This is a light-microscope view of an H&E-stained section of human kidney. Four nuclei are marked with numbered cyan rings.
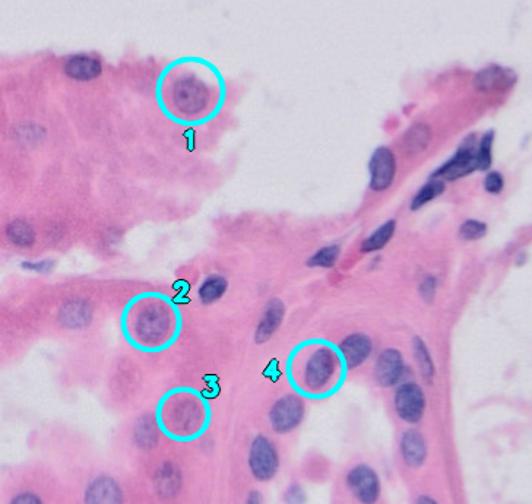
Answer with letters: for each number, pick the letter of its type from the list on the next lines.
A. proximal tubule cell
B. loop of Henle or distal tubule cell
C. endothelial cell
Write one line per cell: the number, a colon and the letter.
1: A
2: A
3: A
4: B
